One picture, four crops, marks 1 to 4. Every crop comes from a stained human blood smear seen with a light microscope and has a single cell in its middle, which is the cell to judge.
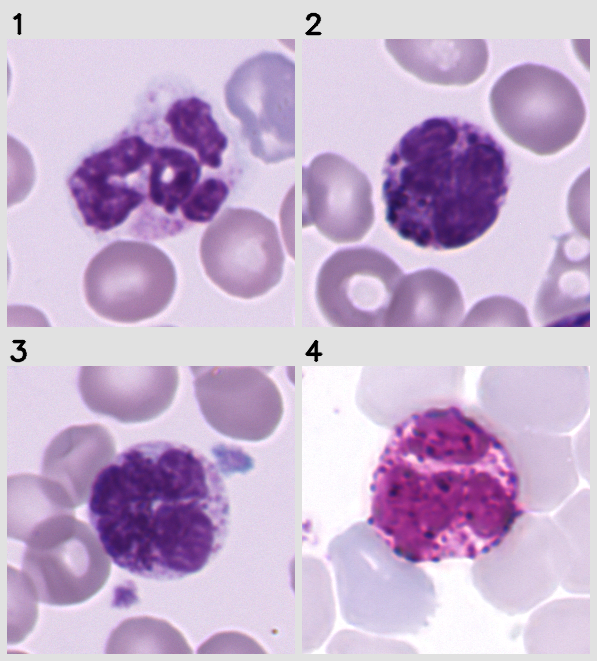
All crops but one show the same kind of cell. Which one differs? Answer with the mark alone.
1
